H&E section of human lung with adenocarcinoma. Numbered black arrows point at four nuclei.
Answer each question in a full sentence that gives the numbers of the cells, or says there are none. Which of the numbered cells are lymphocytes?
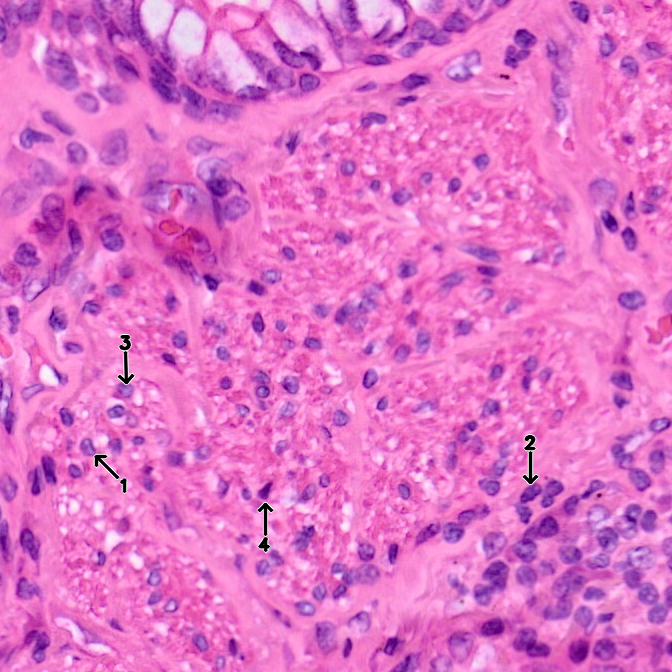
Cell 2 is a lymphocyte; no further numbered cell is.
